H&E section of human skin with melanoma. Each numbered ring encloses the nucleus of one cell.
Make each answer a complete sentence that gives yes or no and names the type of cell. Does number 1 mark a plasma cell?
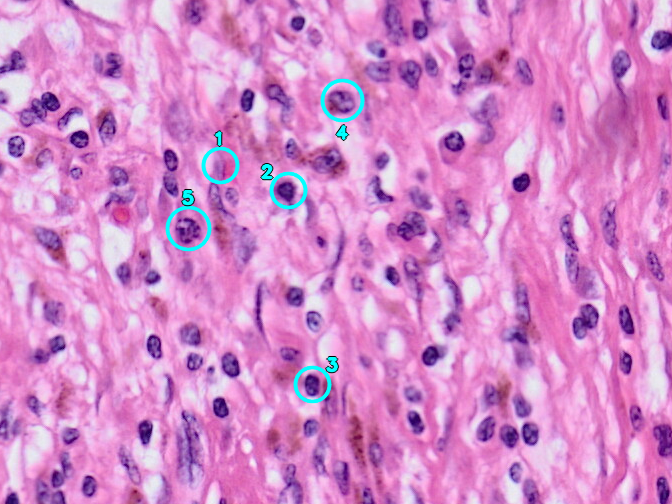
No, cell 1 is an endothelial cell and should not be called a plasma cell.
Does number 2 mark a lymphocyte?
No, the cell that carries number 2 is a plasma cell, not a lymphocyte.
